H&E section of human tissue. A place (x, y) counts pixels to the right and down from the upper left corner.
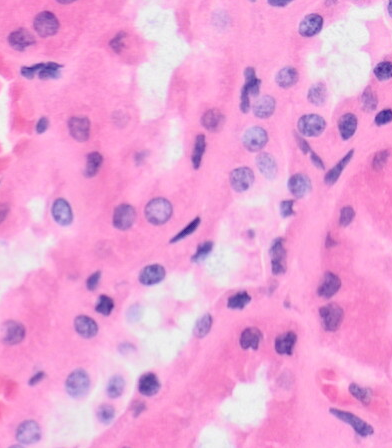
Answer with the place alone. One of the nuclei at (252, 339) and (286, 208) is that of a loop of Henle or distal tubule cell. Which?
(286, 208)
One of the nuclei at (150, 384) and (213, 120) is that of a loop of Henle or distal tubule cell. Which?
(150, 384)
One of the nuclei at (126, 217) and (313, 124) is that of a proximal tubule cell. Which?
(126, 217)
